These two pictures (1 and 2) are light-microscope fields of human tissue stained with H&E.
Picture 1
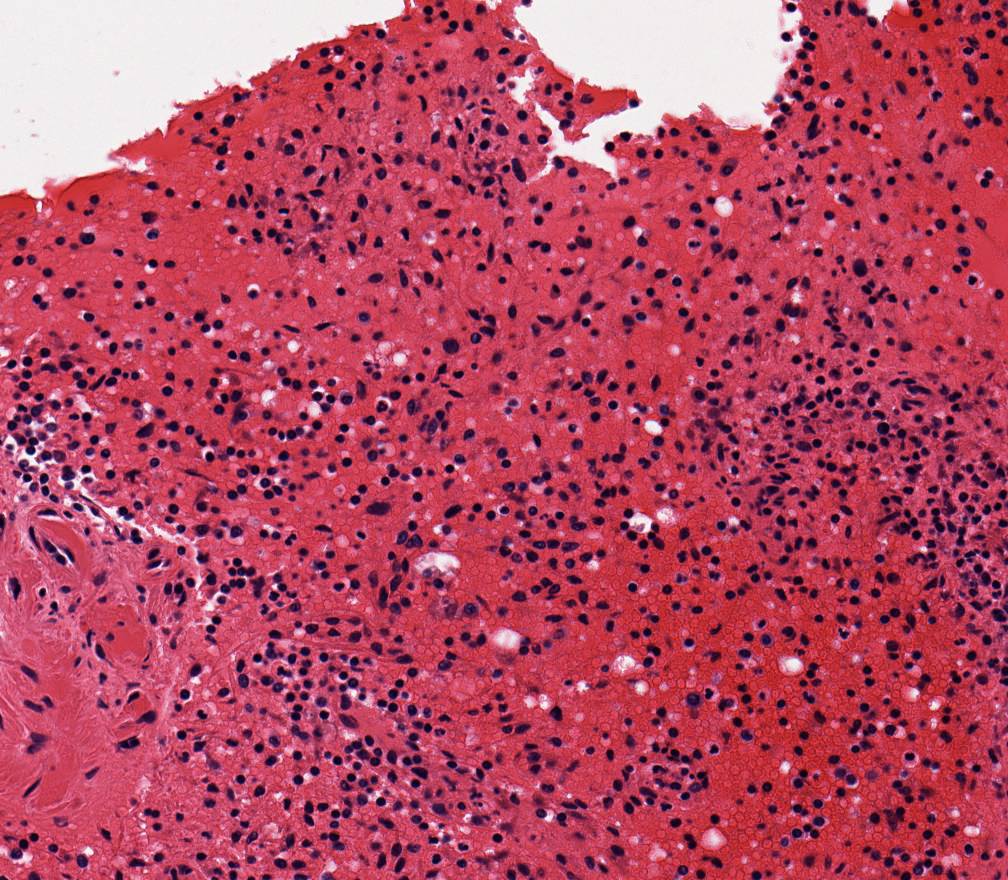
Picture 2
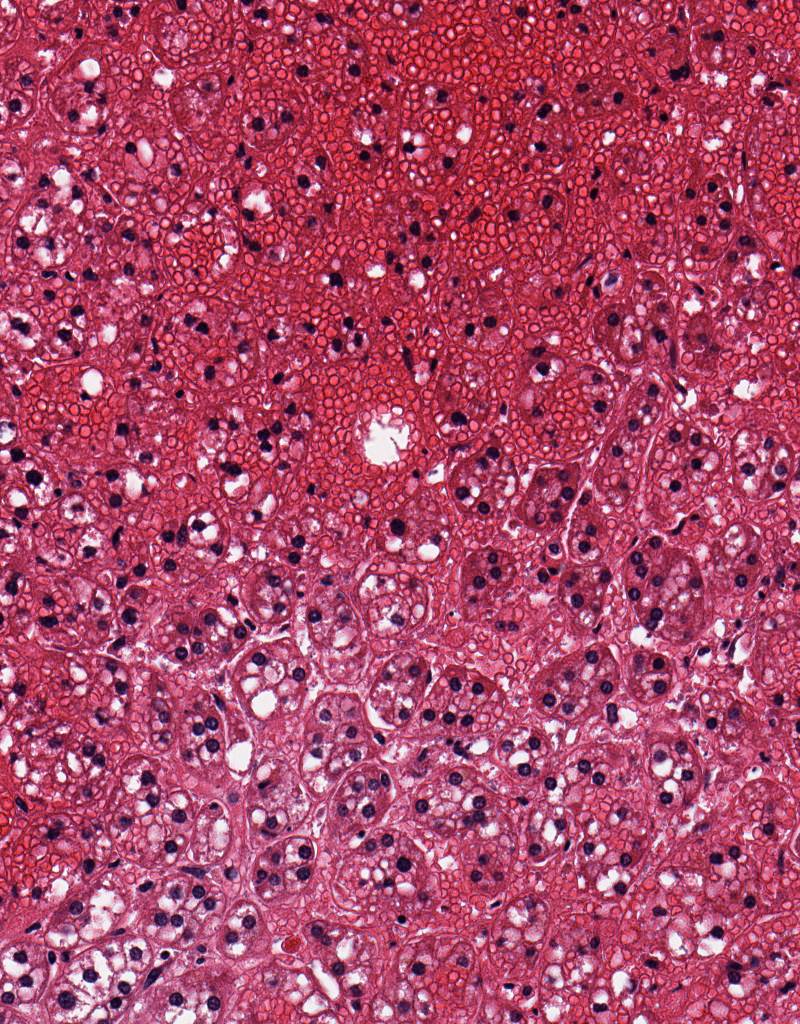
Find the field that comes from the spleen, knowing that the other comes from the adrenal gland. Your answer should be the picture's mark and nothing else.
1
